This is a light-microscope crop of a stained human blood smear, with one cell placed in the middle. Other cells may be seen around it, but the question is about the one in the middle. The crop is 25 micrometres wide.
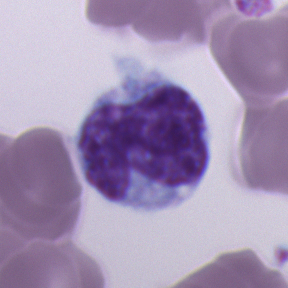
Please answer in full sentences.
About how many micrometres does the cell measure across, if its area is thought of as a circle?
The diameter of the cell comes to about 12 micrometres.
